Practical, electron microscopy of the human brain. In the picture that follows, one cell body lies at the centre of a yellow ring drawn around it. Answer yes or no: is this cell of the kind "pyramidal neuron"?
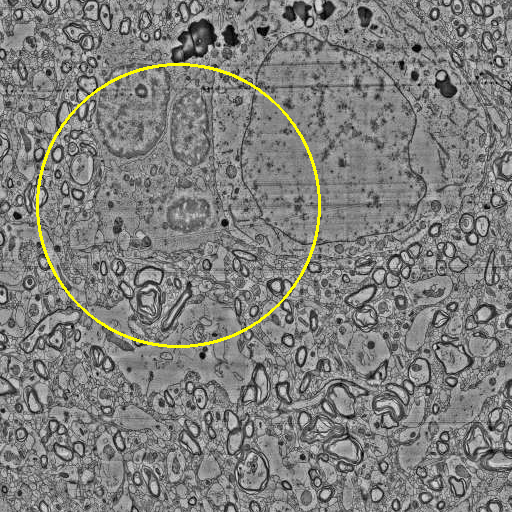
no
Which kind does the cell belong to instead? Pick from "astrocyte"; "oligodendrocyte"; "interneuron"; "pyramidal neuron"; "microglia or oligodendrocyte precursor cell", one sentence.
At the centre of the ring sits an oligodendrocyte.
